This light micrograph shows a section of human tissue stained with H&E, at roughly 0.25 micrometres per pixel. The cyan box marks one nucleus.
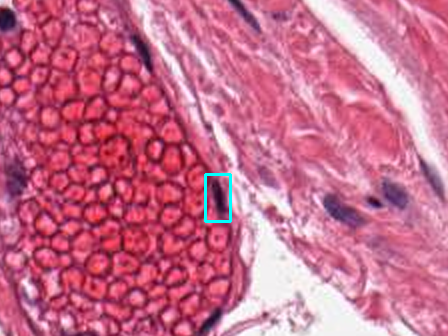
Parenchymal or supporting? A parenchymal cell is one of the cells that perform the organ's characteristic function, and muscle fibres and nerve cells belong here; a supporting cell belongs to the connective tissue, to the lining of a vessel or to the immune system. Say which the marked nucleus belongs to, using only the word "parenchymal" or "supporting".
supporting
